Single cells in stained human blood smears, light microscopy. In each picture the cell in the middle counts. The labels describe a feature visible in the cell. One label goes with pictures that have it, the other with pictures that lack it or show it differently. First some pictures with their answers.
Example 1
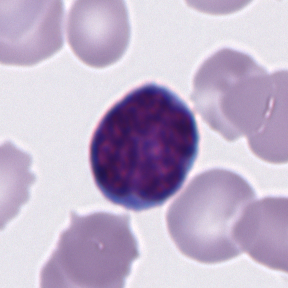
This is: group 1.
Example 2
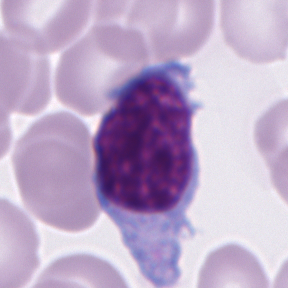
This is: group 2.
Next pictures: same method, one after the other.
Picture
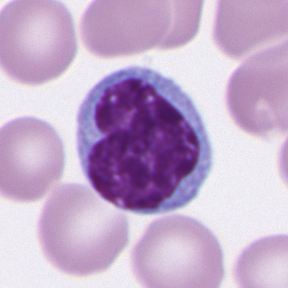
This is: group 1.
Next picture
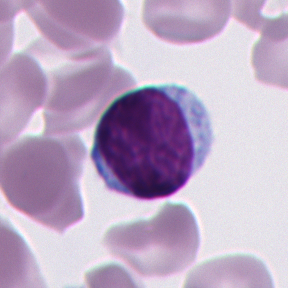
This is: group 1.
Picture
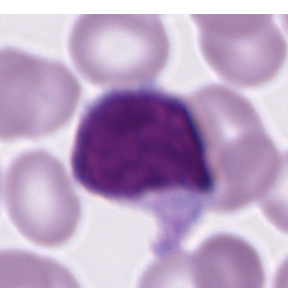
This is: group 2.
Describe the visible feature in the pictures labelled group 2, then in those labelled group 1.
group 2, ragged outline or projections; group 1, smooth outline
